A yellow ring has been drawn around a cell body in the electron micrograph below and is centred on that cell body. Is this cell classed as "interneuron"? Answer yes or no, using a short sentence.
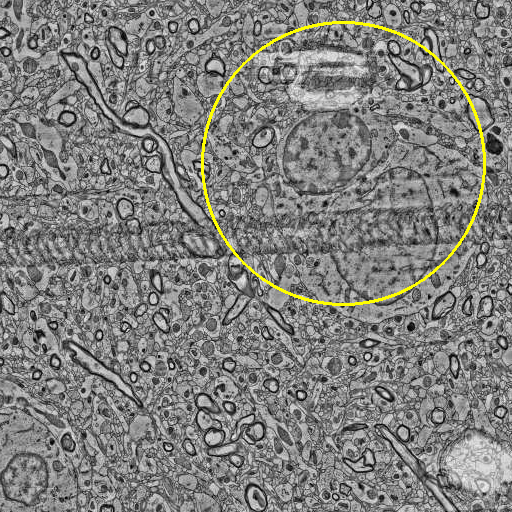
No, it is classed as another kind.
